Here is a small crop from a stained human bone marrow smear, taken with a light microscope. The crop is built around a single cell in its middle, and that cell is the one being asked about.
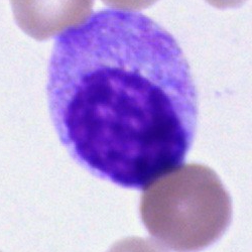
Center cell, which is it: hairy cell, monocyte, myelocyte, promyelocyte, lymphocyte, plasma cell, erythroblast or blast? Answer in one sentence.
The cell sitting right in the middle is a myelocyte.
